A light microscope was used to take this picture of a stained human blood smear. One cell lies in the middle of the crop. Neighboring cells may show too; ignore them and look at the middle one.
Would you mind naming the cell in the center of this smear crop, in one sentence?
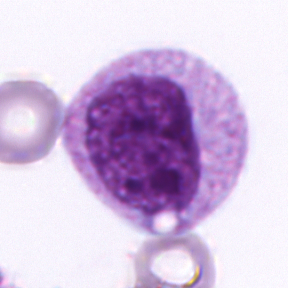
The cell found in the middle of this crop is a myelocyte.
